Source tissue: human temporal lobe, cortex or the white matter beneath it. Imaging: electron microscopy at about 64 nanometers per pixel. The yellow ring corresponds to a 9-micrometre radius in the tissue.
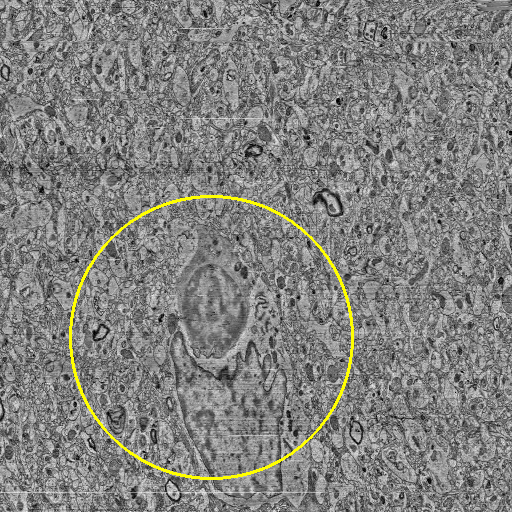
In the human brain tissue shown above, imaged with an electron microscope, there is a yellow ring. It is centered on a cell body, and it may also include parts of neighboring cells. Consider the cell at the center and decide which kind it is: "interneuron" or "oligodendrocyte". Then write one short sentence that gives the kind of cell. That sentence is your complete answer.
This centered cell body is that of an oligodendrocyte.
